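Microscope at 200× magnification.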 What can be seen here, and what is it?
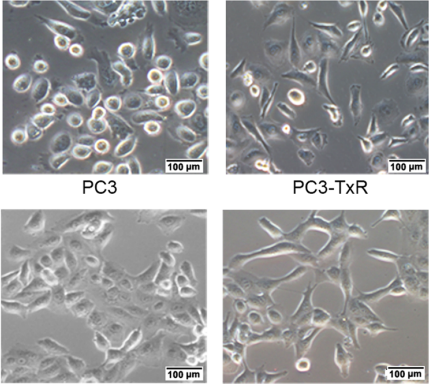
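In the upper left field many cells are small and rounded, with bright refractile rims, and lie in loose groups. In the lower left field the cells are flatter and polygonal and sit side by side in patches. In both right-hand fields many cells are drawn out into spindle or stellate shapes with long, thin processes. In the lower right field these extensions reach from cell to cell, forming a loose network with open spaces between the cells.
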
